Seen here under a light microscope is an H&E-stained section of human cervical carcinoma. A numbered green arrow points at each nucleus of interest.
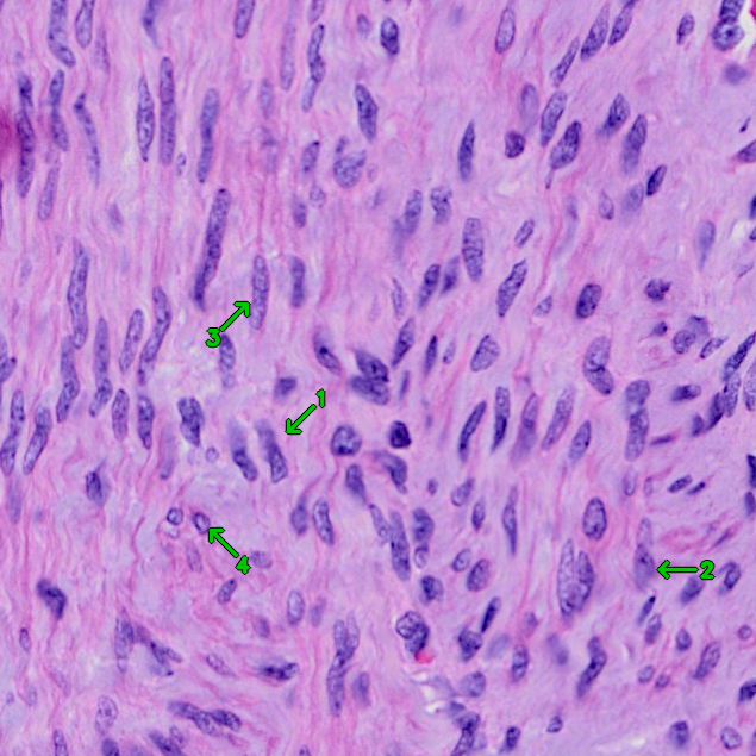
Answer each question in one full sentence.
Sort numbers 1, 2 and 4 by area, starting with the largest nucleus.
The nuclei rank 1, 2, 4, from largest to smallest.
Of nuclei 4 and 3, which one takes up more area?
Nucleus 3 covers more area, about 4 times as much as nucleus 4.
